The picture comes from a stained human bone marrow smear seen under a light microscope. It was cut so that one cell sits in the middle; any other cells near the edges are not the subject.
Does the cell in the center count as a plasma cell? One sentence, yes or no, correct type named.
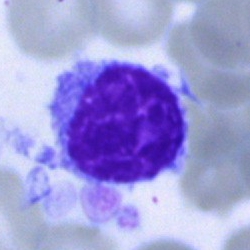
No, the cell centered in the crop is a hairy cell, not a plasma cell.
